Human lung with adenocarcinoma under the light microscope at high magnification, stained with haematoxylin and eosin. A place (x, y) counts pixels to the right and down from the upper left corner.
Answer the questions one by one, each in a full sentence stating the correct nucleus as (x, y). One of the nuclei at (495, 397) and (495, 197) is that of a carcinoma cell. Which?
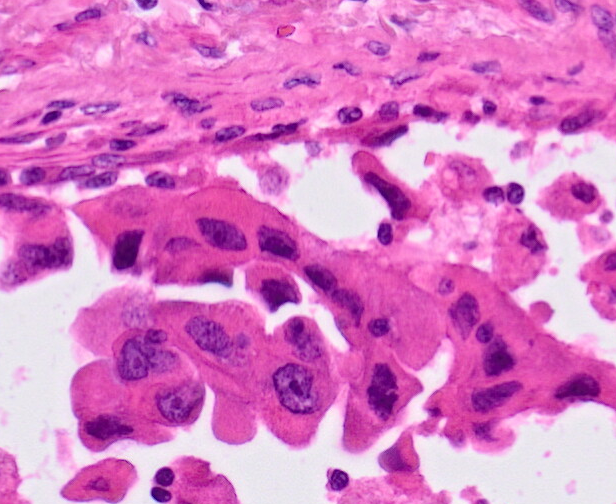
Of these two nuclei, only the one at (495, 397) belongs to a carcinoma cell.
